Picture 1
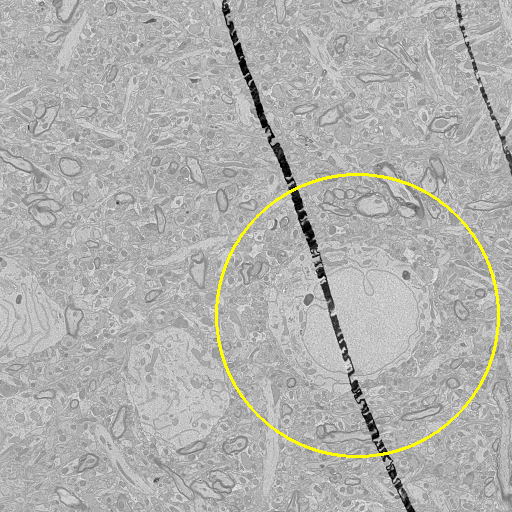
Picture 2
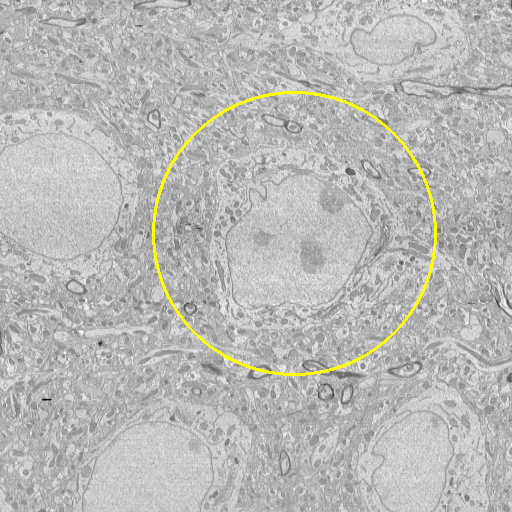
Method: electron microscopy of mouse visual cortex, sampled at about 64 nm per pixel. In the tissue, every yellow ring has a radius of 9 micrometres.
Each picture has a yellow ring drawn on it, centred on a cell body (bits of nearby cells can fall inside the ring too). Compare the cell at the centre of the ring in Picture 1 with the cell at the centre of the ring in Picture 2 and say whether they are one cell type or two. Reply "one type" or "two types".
two types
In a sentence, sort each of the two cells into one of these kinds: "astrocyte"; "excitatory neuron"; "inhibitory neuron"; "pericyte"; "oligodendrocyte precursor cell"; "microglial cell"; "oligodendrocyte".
The first of the two cells is an excitatory neuron, and the second is an inhibitory neuron.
